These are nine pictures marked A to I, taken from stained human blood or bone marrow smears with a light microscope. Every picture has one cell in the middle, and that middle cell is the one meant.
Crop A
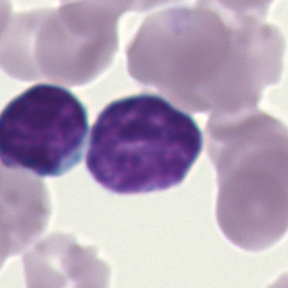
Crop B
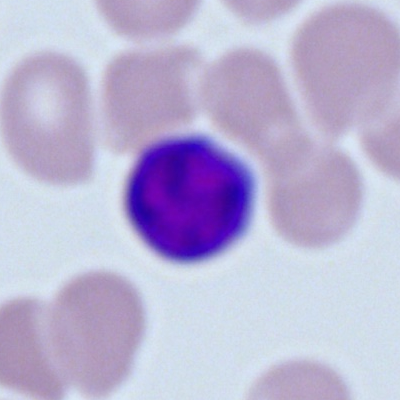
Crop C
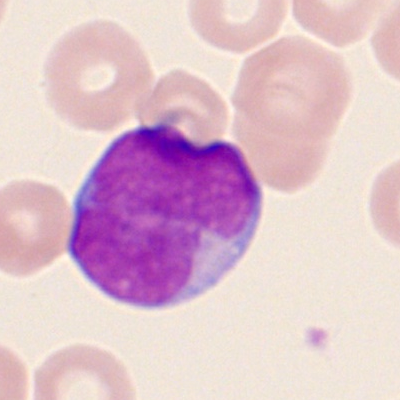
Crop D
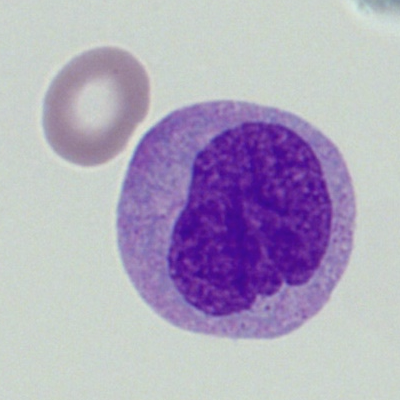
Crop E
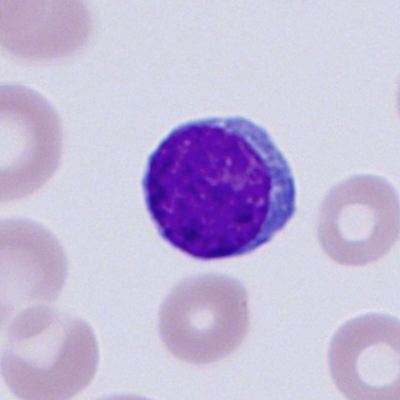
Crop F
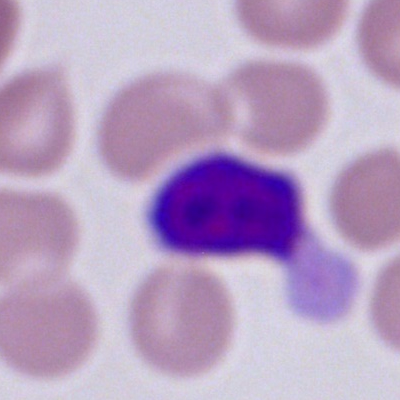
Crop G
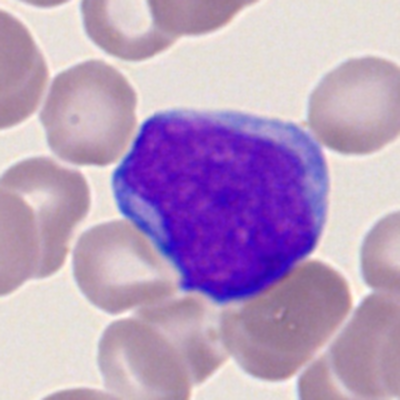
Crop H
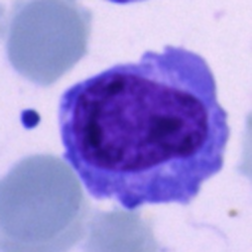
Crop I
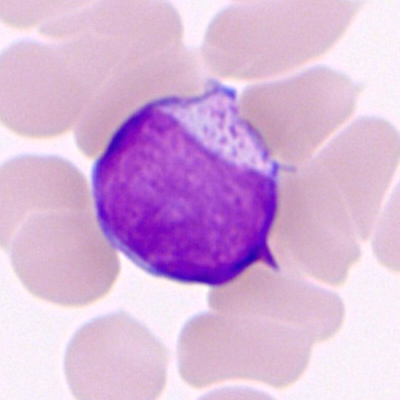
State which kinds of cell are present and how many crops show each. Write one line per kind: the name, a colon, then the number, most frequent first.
blast: 5
lymphocyte: 4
